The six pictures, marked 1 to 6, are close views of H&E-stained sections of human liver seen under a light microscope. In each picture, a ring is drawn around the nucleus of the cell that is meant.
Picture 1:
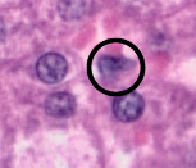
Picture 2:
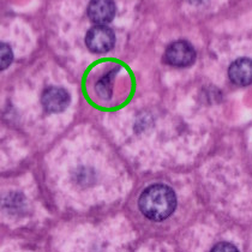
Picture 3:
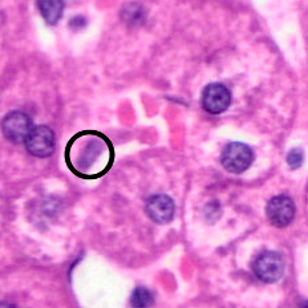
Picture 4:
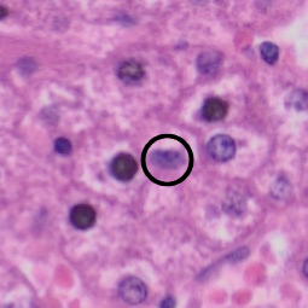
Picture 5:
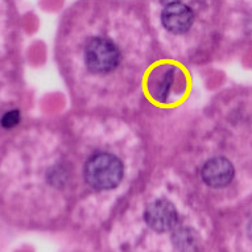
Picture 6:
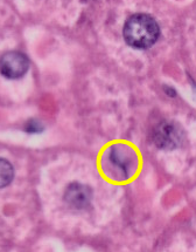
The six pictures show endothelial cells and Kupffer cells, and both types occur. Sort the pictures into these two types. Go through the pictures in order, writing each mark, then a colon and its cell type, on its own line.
1: Kupffer cell
2: endothelial cell
3: Kupffer cell
4: endothelial cell
5: endothelial cell
6: endothelial cell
